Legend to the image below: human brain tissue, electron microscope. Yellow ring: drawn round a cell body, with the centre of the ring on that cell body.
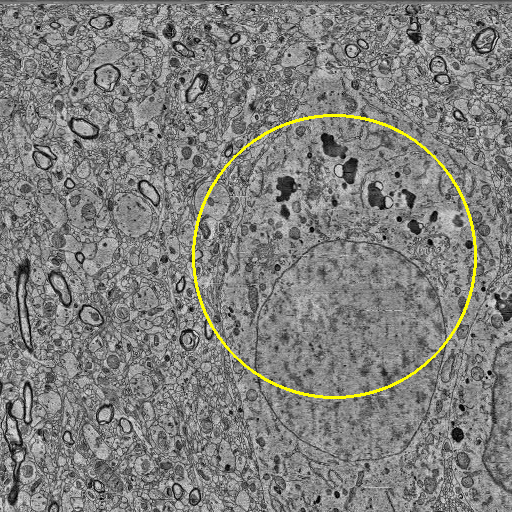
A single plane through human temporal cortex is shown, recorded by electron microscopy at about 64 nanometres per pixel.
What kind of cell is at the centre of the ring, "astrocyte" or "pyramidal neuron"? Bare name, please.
pyramidal neuron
